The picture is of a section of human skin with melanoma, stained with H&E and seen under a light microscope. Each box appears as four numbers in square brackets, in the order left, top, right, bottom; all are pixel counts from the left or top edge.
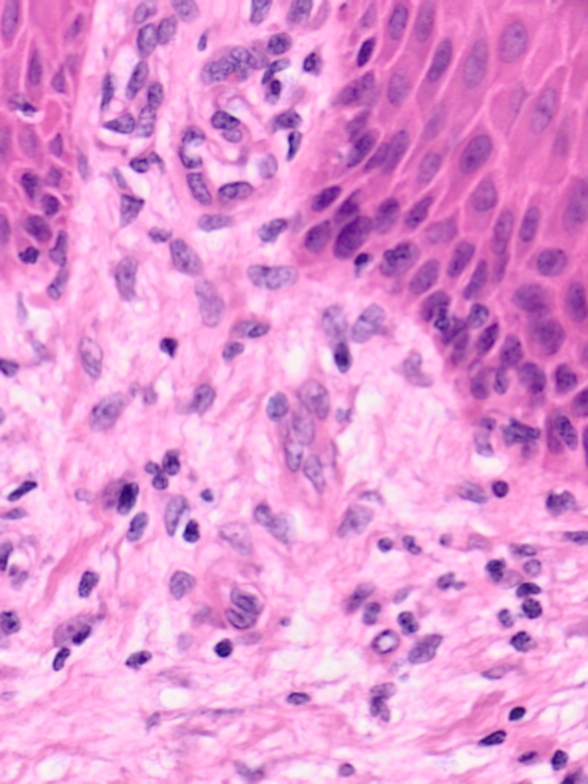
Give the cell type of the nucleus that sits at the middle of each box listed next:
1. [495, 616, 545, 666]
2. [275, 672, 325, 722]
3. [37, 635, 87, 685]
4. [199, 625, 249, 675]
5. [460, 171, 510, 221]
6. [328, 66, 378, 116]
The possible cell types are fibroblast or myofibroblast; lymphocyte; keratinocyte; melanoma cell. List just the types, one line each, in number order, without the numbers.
lymphocyte
lymphocyte
lymphocyte
lymphocyte
keratinocyte
keratinocyte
